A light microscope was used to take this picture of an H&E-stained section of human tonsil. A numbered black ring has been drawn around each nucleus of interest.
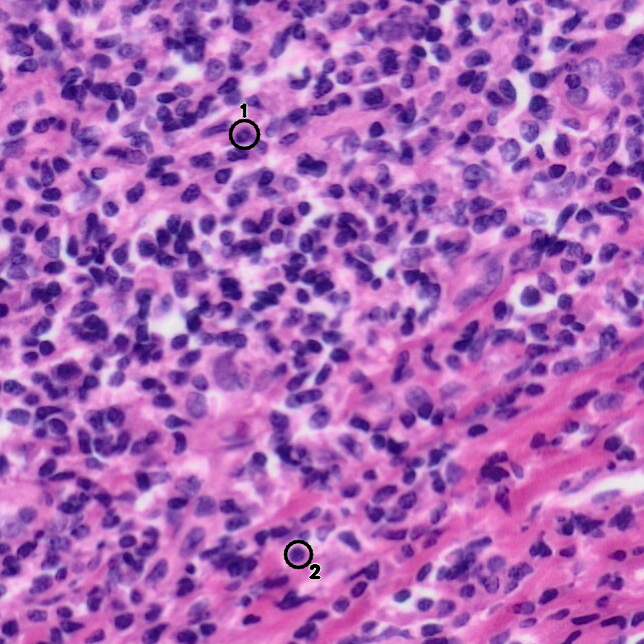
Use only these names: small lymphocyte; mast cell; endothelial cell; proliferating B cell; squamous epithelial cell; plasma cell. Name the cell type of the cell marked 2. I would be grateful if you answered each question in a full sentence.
In this section, the cell tagged 2 is a mast cell.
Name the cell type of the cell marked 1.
What the number 1 marks in this field is a plasma cell.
